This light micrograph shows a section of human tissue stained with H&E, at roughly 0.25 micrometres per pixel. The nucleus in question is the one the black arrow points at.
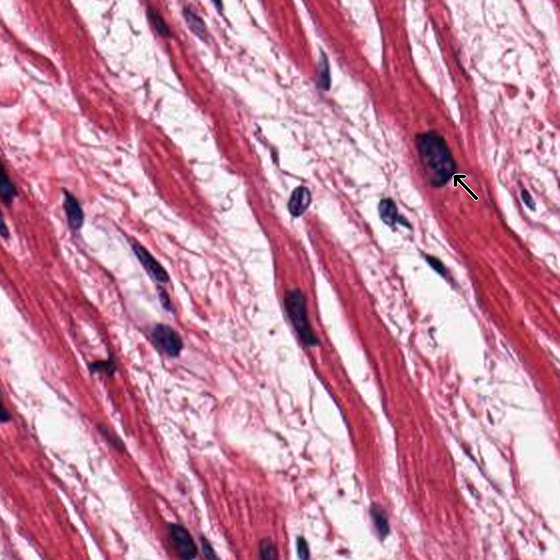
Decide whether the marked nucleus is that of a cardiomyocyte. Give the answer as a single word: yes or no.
yes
